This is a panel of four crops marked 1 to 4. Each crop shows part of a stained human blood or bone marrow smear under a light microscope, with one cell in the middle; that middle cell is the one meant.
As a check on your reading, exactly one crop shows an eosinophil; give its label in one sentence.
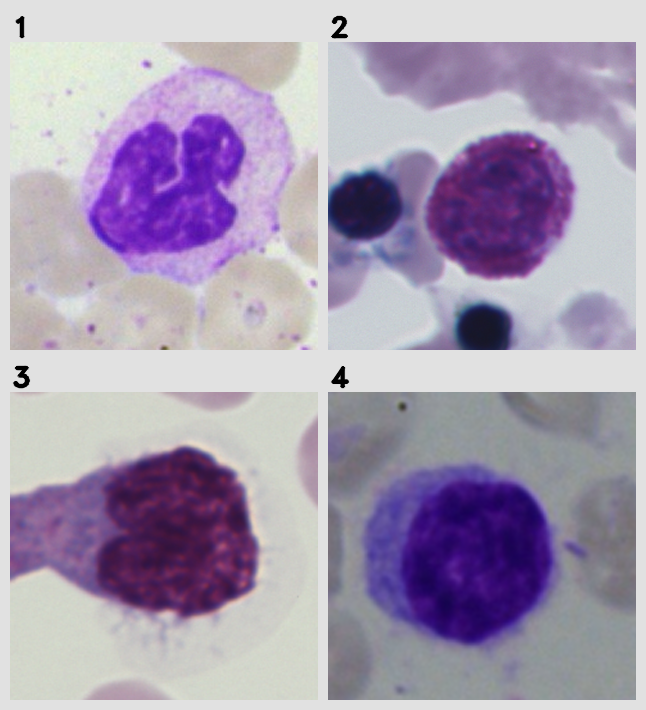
The one crop in the set with an eosinophil is crop 2.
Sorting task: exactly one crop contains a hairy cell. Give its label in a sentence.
Crop 4 alone, of all the crops, shows a hairy cell.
